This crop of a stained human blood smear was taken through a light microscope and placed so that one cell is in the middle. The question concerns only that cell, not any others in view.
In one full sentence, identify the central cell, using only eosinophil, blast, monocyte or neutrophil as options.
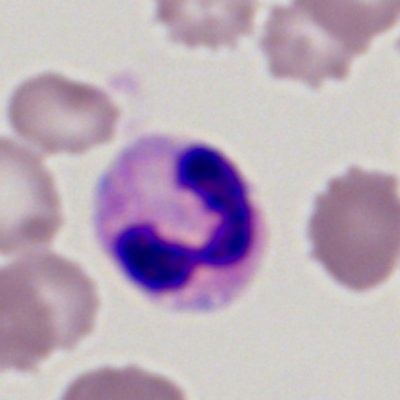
The middle of this crop is occupied by a neutrophil.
